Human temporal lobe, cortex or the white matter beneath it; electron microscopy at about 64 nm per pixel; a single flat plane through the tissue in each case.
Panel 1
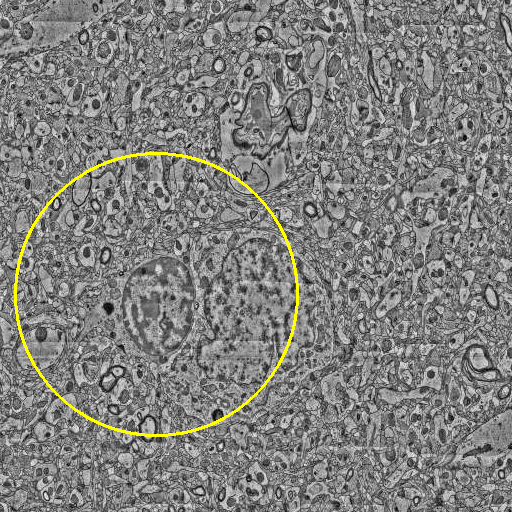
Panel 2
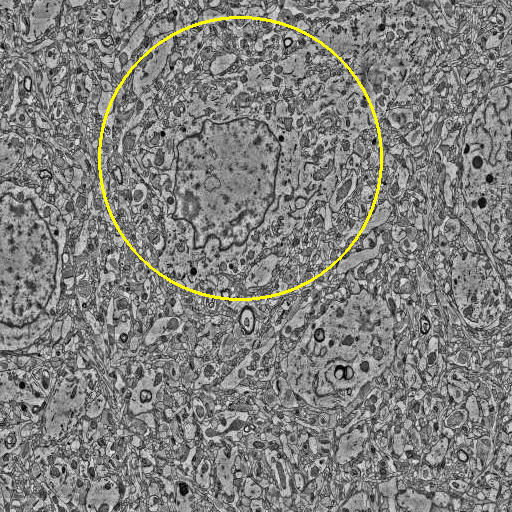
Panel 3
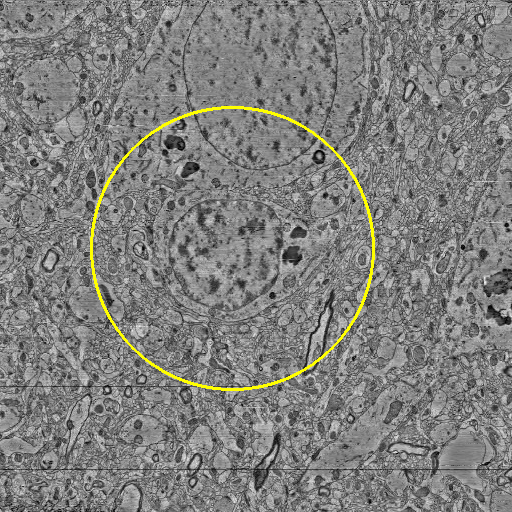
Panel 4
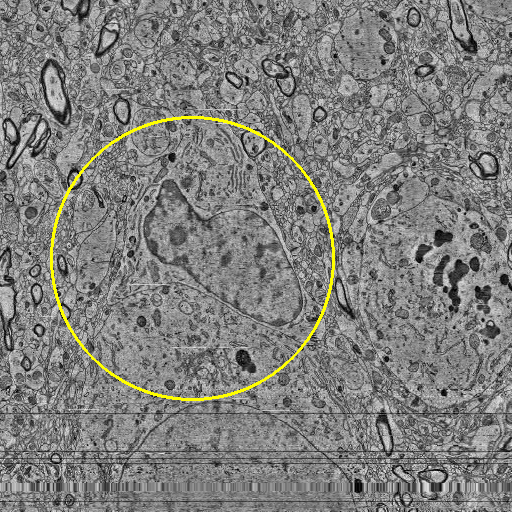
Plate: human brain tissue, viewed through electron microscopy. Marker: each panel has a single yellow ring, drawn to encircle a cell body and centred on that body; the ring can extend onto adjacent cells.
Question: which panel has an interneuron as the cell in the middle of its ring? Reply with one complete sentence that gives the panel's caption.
Panel 3 is where the requested cell sits at the centre of the ring.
